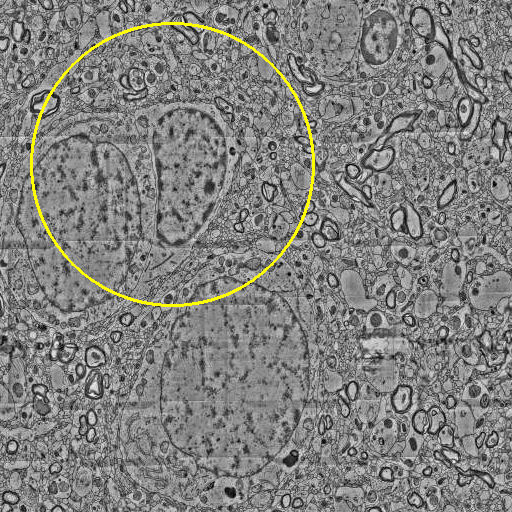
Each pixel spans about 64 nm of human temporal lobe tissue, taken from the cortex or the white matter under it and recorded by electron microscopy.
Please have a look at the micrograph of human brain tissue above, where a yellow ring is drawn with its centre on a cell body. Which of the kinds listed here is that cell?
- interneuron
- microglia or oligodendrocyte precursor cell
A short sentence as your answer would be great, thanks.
At the centre of the ring sits a microglial cell or oligodendrocyte precursor cell.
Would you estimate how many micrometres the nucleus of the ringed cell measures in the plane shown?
The nucleus appears roughly 9 by 5 micrometres in this plane.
